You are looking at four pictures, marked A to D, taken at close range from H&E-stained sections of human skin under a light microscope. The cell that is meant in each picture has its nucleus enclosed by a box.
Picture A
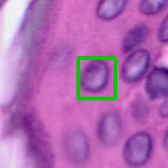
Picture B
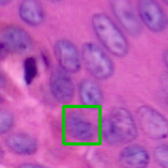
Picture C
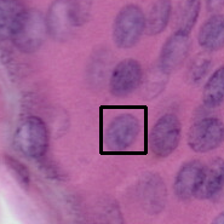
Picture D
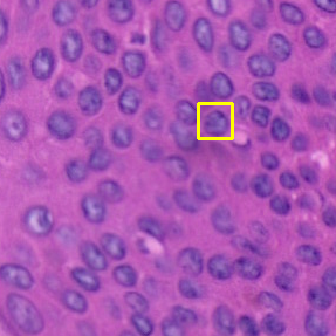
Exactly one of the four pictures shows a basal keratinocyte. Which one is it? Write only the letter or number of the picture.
B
